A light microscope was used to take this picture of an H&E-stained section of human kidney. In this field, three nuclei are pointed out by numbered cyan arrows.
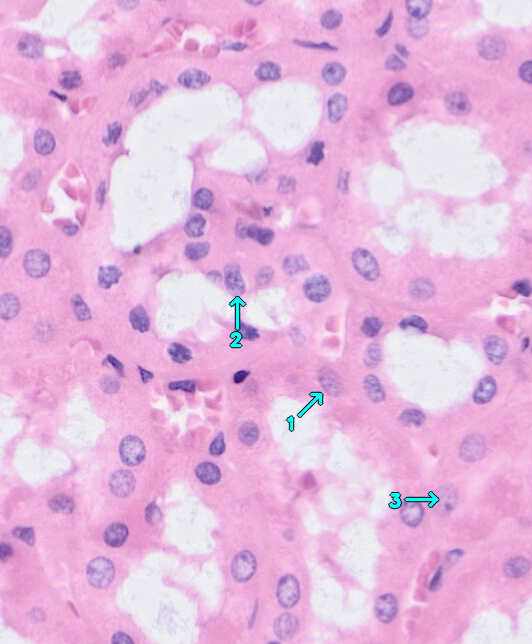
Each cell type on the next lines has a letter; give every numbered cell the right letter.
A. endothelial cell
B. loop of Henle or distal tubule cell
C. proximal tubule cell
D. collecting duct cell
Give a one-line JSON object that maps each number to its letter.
{"1": "C", "2": "B", "3": "C"}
